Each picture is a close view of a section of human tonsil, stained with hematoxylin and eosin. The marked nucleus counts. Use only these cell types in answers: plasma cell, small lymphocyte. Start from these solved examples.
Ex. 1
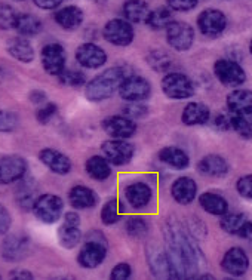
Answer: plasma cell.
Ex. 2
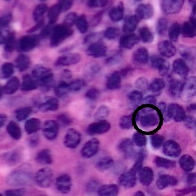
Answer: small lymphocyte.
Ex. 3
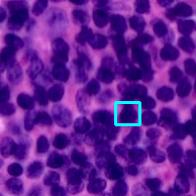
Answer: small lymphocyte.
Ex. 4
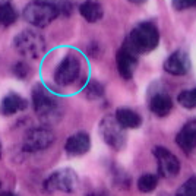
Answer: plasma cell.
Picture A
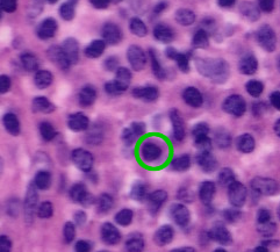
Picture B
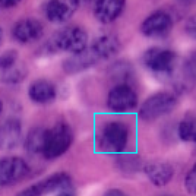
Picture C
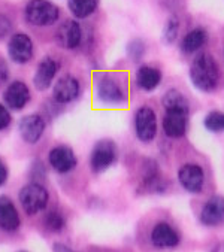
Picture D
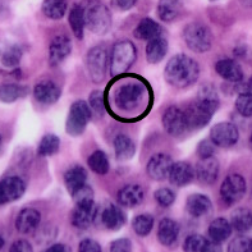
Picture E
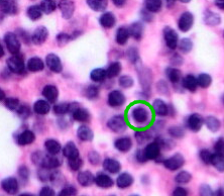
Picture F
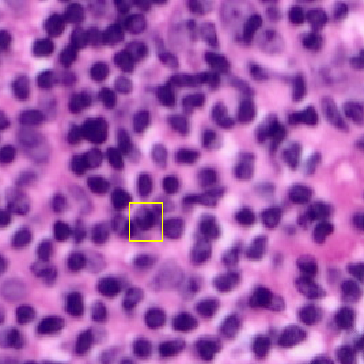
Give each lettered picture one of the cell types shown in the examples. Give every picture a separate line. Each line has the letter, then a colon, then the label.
A: plasma cell.
B: plasma cell.
C: plasma cell.
D: plasma cell.
E: small lymphocyte.
F: small lymphocyte.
